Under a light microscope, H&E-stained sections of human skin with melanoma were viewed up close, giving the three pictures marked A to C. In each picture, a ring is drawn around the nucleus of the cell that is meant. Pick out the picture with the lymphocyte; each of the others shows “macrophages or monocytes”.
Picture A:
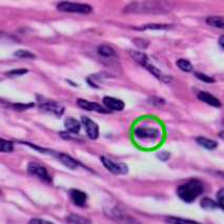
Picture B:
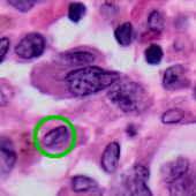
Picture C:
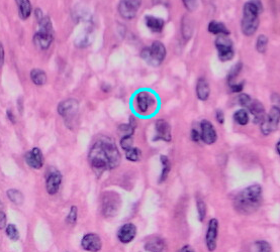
A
